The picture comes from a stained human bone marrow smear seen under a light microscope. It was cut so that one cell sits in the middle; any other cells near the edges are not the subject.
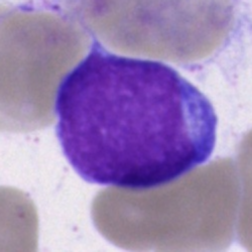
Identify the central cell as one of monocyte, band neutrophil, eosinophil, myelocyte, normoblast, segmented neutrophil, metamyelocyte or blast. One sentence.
In this smear crop, the middle cell is a blast.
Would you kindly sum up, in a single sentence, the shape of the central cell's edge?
The edge of the cell is broken up by ragged stretches or by outward projections.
